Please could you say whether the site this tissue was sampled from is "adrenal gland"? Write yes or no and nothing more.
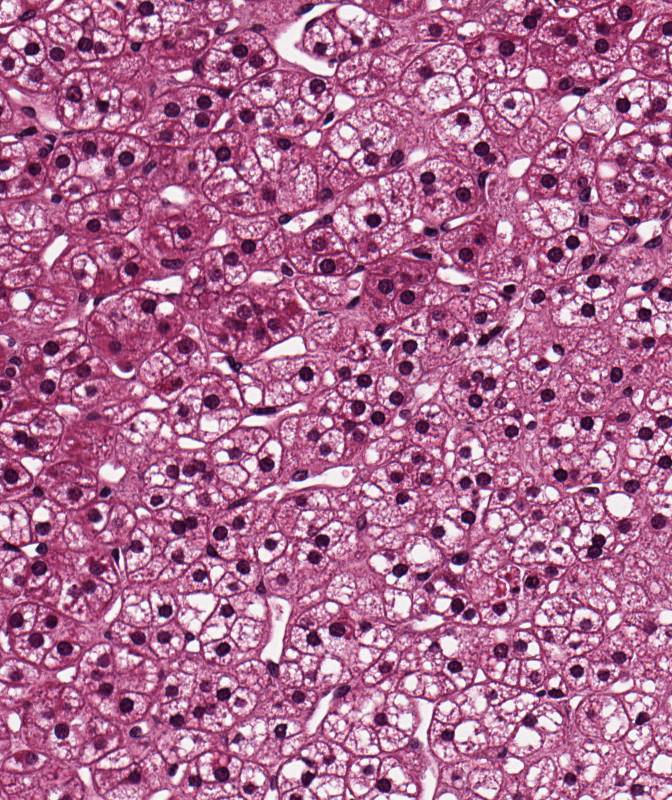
yes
